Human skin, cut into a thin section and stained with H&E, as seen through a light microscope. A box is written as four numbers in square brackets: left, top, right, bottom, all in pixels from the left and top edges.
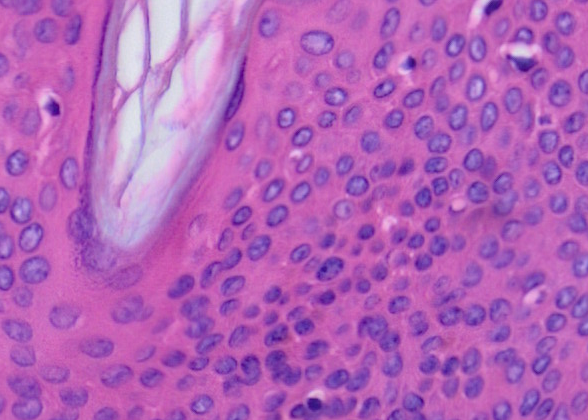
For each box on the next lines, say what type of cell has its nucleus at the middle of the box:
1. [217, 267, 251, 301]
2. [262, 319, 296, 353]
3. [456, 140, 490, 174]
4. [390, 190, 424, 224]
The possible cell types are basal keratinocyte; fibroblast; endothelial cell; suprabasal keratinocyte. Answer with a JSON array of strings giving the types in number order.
["suprabasal keratinocyte", "basal keratinocyte", "suprabasal keratinocyte", "basal keratinocyte"]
